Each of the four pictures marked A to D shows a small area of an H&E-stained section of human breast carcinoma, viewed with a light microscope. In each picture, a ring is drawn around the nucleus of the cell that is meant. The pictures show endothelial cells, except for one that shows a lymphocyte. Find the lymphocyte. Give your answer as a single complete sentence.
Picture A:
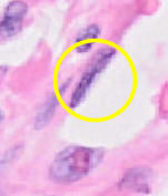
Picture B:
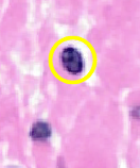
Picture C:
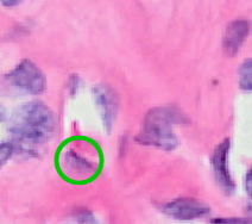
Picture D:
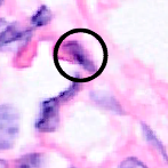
The lymphocyte is the one in picture B.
